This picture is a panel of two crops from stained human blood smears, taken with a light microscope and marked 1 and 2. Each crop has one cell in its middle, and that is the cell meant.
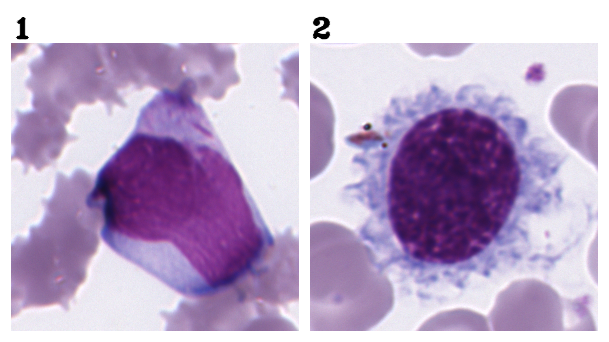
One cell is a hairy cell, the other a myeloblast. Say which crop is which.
1: myeloblast
2: hairy cell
